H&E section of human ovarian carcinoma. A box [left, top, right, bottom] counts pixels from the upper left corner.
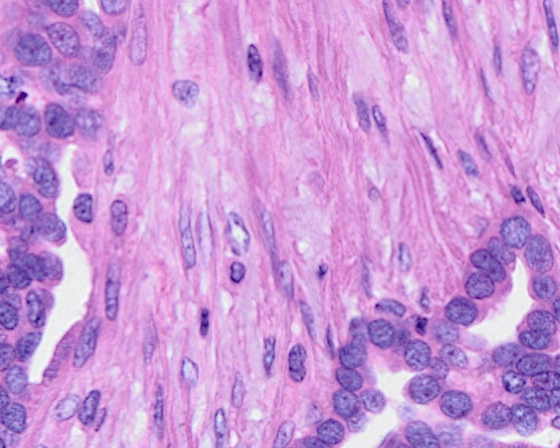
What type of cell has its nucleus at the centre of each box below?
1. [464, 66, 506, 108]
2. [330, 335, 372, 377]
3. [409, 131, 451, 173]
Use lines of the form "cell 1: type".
cell 1: fibroblast
cell 2: carcinoma cell
cell 3: fibroblast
